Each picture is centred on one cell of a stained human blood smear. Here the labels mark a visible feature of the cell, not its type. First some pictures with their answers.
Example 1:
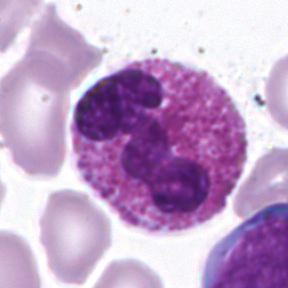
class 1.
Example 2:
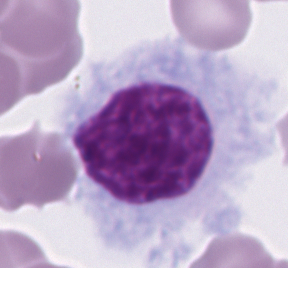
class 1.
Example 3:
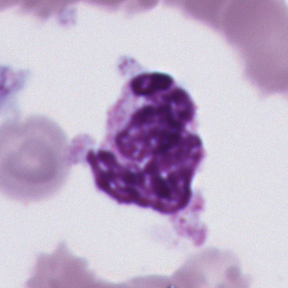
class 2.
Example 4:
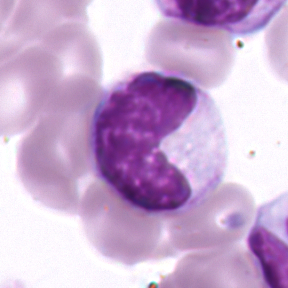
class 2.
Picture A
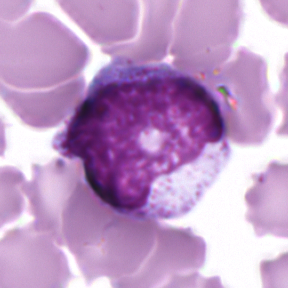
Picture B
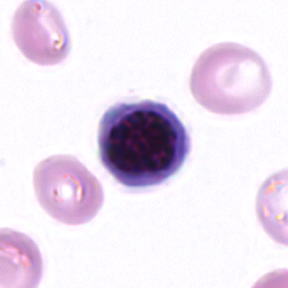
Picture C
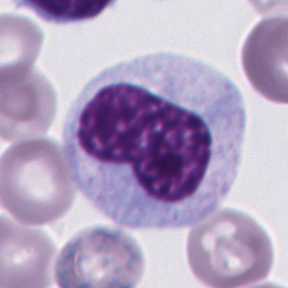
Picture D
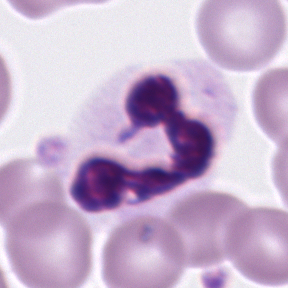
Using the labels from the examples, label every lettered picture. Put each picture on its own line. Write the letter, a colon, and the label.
A: class 2.
B: class 2.
C: class 1.
D: class 1.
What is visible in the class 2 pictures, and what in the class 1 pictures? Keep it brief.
Seen in class 2: scant cytoplasm; seen in class 1: abundant cytoplasm.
